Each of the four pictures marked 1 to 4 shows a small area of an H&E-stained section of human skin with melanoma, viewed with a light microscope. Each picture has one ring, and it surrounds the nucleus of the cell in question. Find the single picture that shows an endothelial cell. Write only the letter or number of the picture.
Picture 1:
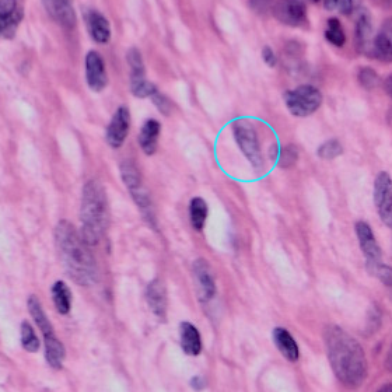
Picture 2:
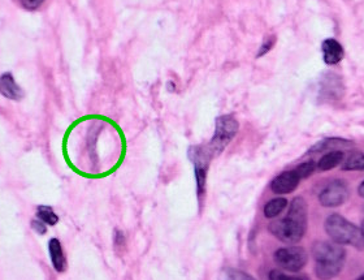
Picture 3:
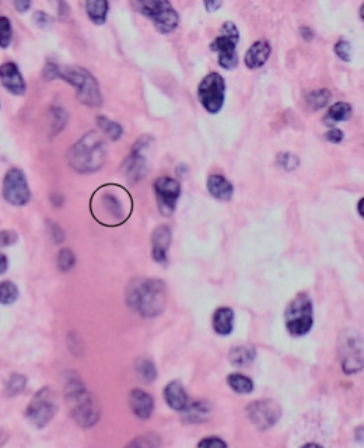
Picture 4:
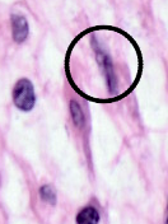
3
